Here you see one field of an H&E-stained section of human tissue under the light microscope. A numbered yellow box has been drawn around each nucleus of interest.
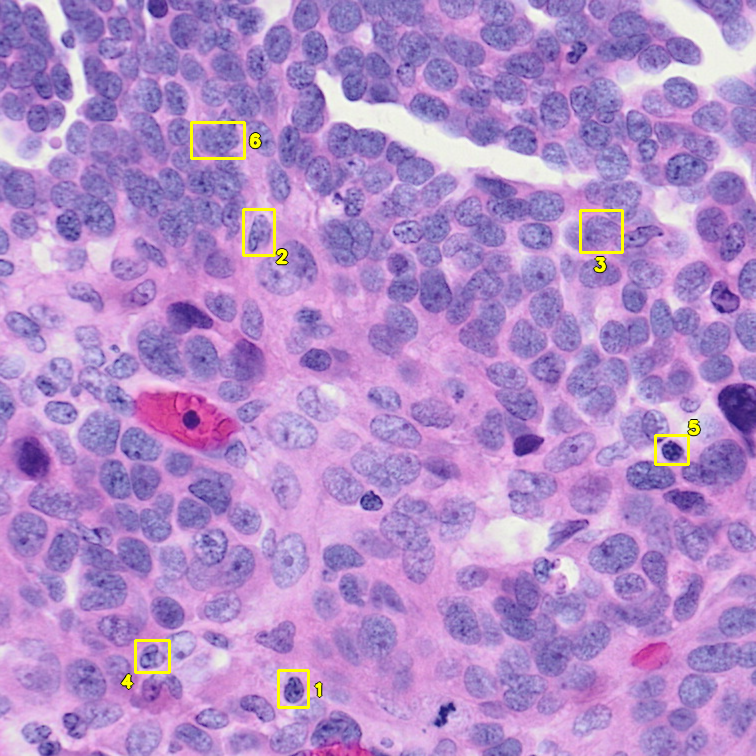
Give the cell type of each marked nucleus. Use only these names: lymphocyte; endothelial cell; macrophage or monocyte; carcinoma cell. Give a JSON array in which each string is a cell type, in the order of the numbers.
["lymphocyte", "macrophage or monocyte", "carcinoma cell", "macrophage or monocyte", "lymphocyte", "carcinoma cell"]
